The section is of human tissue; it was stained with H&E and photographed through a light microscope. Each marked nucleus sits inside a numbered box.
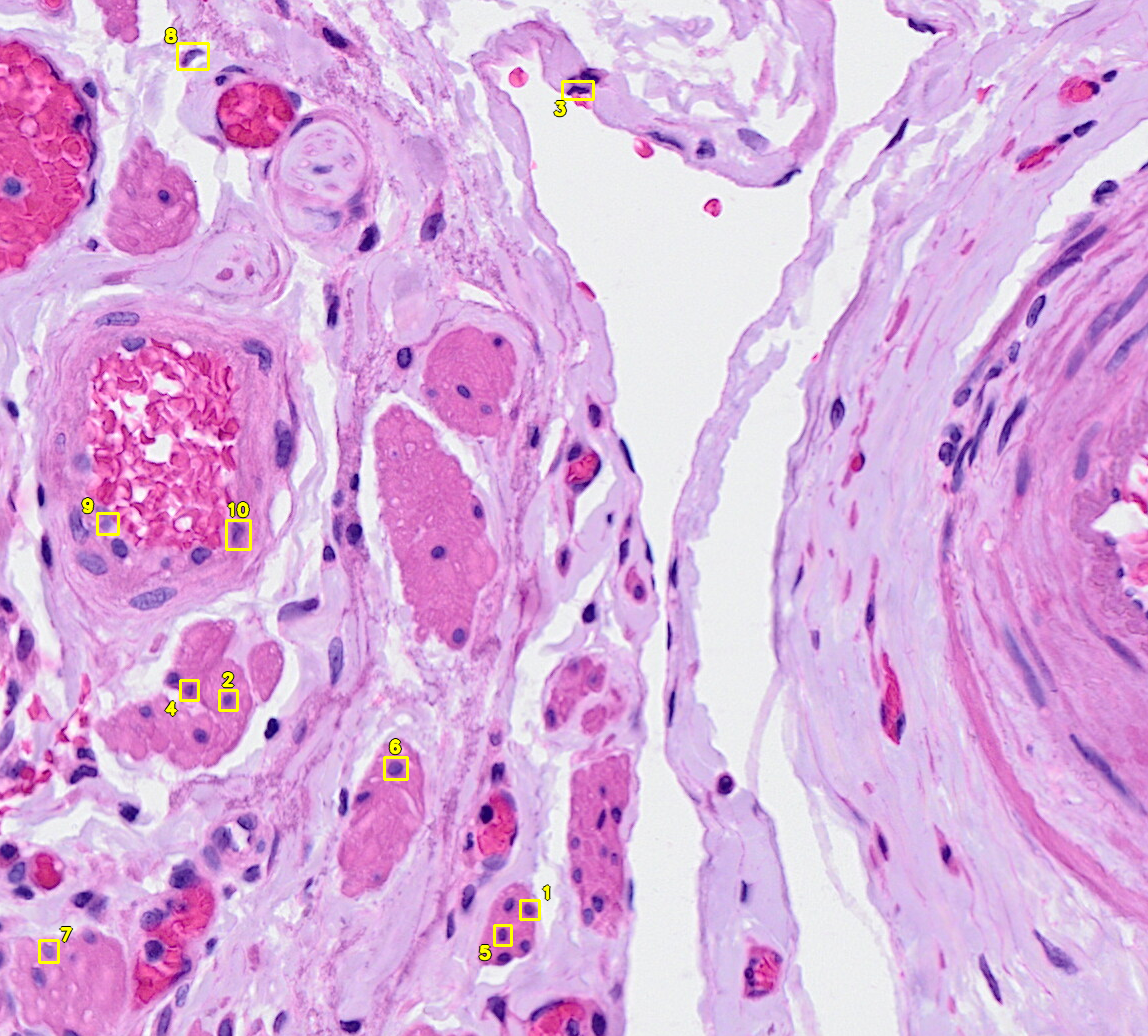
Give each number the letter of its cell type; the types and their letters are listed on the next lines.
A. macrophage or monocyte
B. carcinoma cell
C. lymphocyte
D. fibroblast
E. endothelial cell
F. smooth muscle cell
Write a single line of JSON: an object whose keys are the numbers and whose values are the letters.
{"1": "F", "2": "F", "3": "E", "4": "F", "5": "F", "6": "F", "7": "F", "8": "D", "9": "E", "10": "E"}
